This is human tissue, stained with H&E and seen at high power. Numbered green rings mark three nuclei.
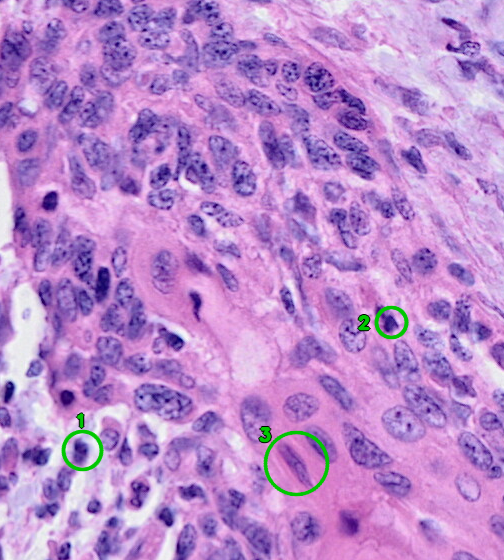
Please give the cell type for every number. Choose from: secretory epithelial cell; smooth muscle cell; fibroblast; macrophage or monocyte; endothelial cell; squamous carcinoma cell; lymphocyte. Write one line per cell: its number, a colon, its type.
1: lymphocyte
2: squamous carcinoma cell
3: squamous carcinoma cell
